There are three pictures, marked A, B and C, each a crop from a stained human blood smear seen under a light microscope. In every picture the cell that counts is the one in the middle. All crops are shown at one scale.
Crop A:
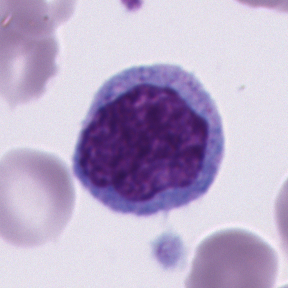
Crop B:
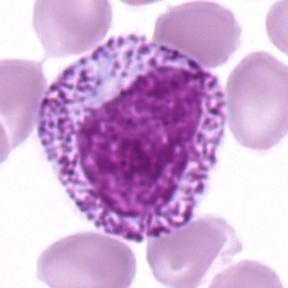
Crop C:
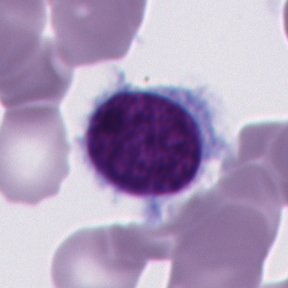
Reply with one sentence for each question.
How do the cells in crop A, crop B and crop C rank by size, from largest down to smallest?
From the largest down, the order is B, A, C.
